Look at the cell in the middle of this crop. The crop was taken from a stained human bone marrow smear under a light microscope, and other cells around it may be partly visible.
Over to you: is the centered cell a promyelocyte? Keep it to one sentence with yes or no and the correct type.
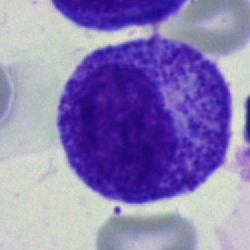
Yes, the cell positioned at the centre of the crop is a promyelocyte.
